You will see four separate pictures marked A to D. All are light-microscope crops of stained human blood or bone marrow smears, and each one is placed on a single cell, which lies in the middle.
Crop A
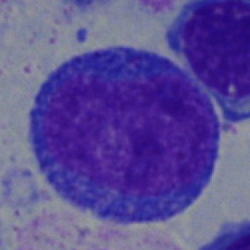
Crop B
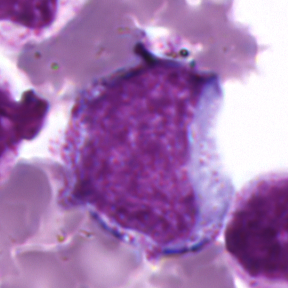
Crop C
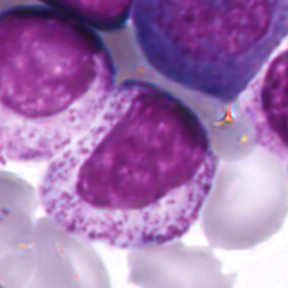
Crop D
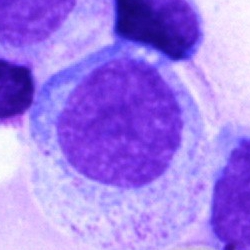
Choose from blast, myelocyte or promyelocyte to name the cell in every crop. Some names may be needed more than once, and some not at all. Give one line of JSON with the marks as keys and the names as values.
{"A": "blast", "B": "promyelocyte", "C": "myelocyte", "D": "myelocyte"}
